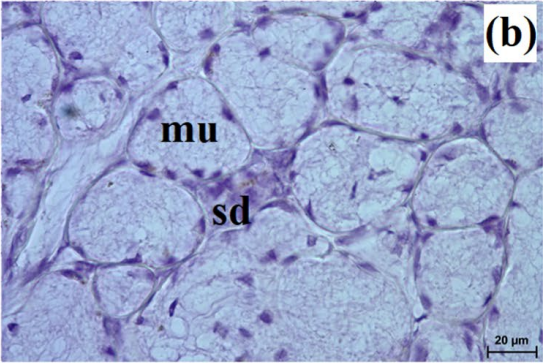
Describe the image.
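This section of salivary gland shows closely packed rounded mucous units separated by thin strands of connective tissue. The secretory cells have pale, foamy, lightly bluish cytoplasm, and their small, dark, flattened nuclei are pushed to the base at the rim of each unit. Between the units runs a small duct with darker, more densely stained cells.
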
